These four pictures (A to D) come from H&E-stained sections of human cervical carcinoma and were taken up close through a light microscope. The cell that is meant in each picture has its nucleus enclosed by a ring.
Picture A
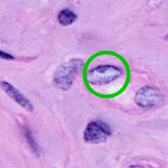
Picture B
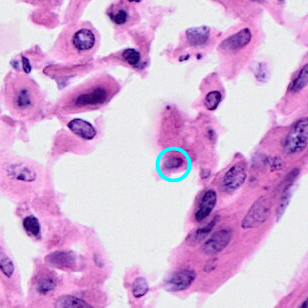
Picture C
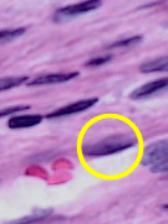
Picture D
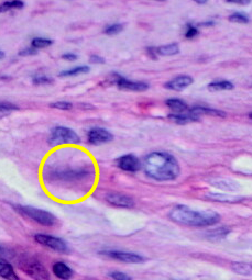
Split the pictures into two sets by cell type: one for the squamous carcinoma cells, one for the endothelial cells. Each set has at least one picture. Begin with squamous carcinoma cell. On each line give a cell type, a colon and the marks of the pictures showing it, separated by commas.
squamous carcinoma cell: B
endothelial cell: A, C, D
